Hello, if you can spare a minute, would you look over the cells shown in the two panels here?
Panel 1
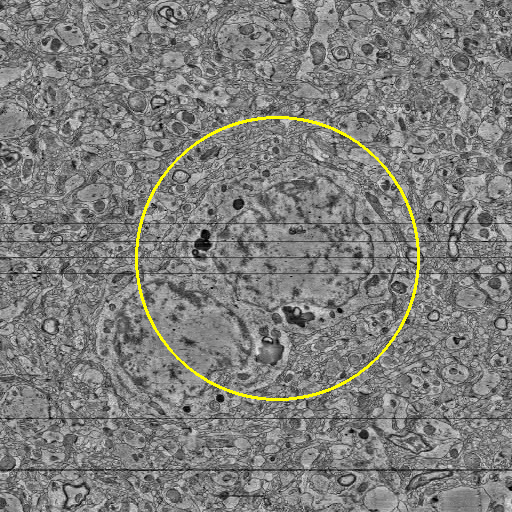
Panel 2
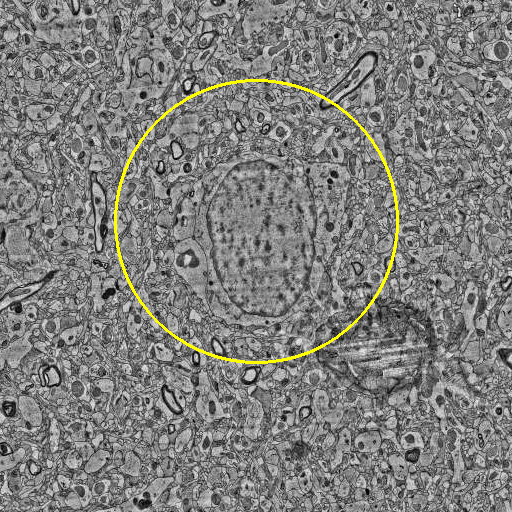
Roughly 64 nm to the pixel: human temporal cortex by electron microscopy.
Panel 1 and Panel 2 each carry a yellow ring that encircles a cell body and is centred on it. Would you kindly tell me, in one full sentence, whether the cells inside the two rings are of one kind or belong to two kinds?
The cells at the centres of the rings in Panel 1 and Panel 2 are of one kind.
